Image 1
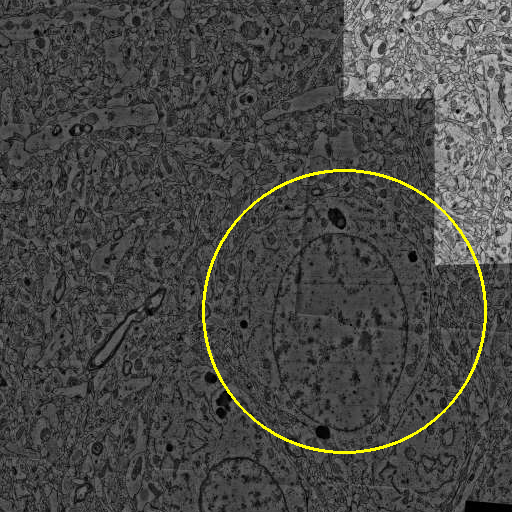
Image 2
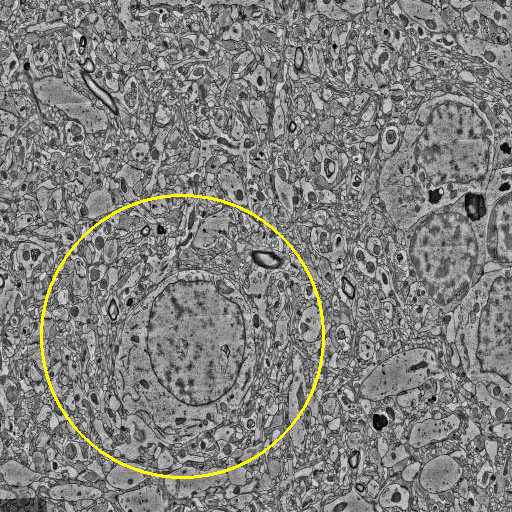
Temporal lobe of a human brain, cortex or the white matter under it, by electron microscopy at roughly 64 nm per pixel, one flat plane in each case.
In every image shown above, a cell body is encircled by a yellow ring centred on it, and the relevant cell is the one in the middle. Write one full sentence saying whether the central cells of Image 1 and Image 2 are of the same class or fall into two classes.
The cell at the ring's centre in Image 1 and its counterpart in Image 2 are of the same class.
